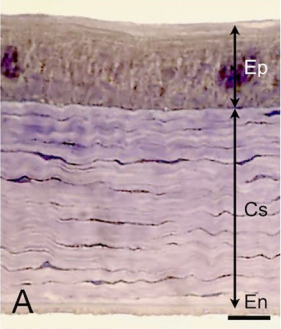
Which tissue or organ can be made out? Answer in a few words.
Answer: Cornea.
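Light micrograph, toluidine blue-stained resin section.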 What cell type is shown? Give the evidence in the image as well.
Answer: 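Thin, dark, spindle-shaped profiles lie parallel to the surface. They sit between thick, pale, lamellar layers beneath a covering epithelium. So: keratocytes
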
